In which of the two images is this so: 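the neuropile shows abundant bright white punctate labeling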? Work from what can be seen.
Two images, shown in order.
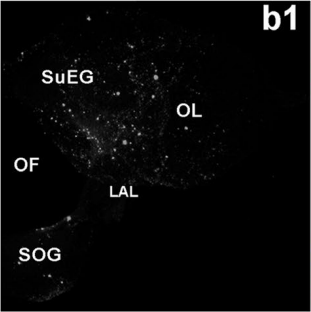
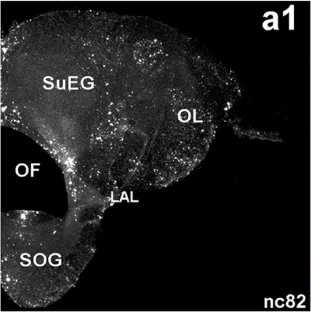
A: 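First image: only sparse, scattered white dots on a mostly dark brain. Second image: numerous bright white dots and diffuse grey labeling across the brain.
Conclusion: the second image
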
